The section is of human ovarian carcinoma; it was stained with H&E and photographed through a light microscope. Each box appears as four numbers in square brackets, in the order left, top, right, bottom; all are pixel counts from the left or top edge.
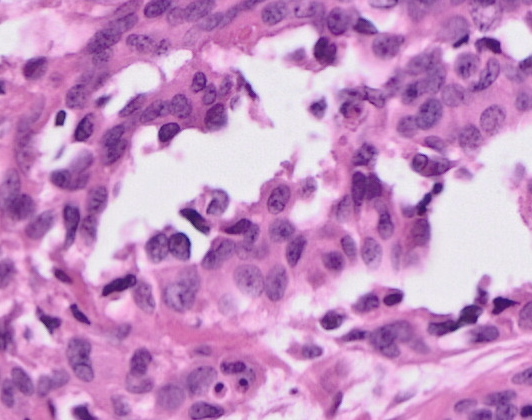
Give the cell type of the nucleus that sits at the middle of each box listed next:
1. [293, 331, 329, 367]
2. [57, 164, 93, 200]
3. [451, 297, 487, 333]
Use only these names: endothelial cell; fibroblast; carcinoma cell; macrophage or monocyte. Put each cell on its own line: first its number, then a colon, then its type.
1: macrophage or monocyte
2: carcinoma cell
3: carcinoma cell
